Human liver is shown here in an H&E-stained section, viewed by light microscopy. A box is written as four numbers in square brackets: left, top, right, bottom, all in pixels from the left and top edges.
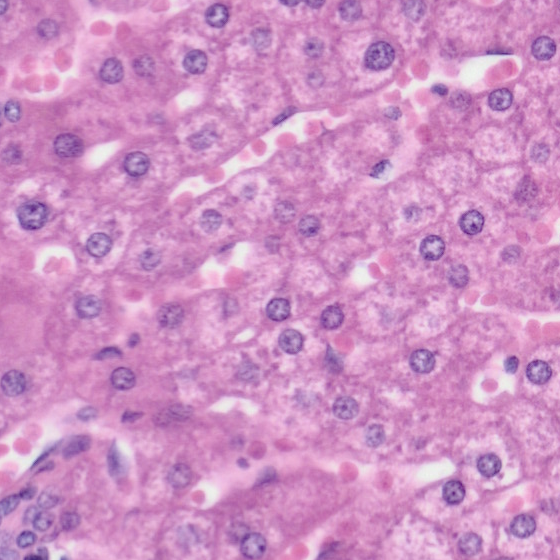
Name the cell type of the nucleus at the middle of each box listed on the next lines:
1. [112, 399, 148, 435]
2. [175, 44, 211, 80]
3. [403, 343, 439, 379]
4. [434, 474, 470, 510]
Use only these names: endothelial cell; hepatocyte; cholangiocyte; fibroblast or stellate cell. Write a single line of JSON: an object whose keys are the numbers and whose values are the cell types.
{"1": "fibroblast or stellate cell", "2": "hepatocyte", "3": "hepatocyte", "4": "hepatocyte"}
